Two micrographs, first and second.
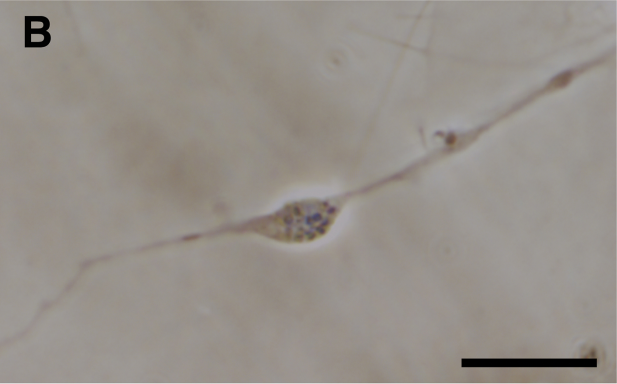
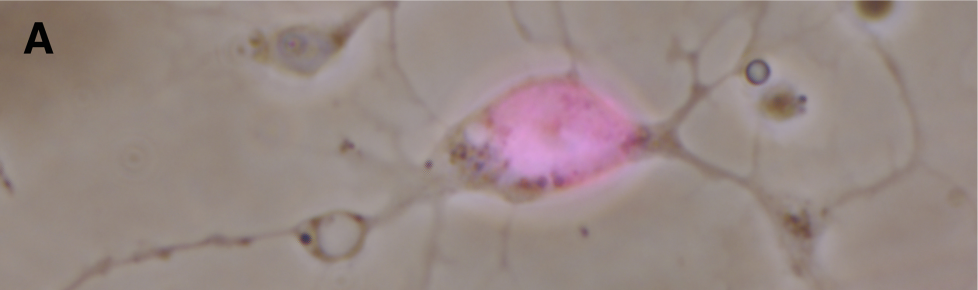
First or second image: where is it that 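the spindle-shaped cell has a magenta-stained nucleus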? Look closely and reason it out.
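First image: the spindle-shaped cell body shows no magenta staining. Second image: the spindle-shaped cell body contains a bright magenta region. So: the second image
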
